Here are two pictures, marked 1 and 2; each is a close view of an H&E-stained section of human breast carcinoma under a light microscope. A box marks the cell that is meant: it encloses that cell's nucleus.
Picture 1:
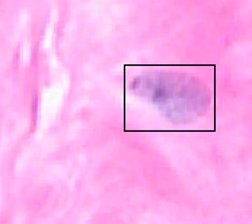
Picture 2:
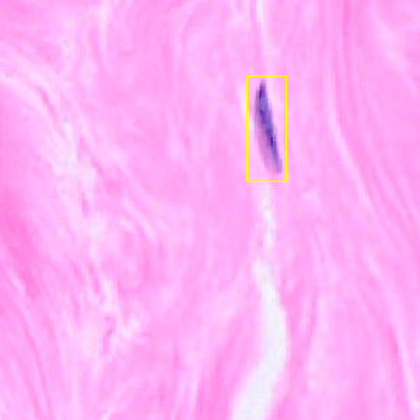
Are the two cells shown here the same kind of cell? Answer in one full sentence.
Yes, both are fibroblasts.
